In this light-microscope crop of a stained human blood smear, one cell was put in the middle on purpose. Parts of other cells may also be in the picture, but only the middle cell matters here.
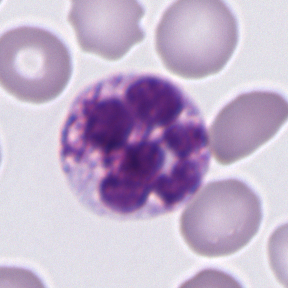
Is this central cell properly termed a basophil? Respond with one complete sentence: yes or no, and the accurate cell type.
Yes, the crop's central cell is a basophil.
